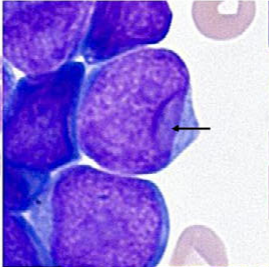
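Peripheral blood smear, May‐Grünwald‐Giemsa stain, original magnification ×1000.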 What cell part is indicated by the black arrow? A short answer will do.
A: nuclear invagination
